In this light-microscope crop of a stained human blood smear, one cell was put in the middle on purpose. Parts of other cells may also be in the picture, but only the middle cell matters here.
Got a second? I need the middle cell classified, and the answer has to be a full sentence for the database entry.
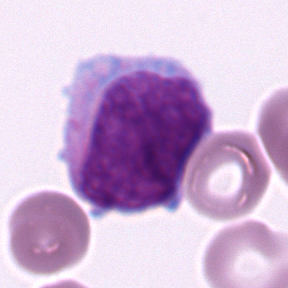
The central cell in this smear crop is an atypical promyelocyte.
